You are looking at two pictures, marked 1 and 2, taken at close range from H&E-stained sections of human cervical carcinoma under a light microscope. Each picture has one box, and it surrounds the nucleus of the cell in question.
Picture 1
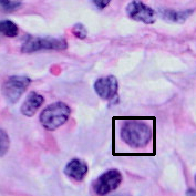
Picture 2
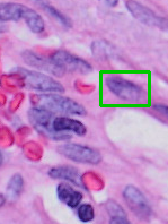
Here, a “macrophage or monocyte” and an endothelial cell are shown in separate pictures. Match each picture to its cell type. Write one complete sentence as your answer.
It is picture 1 that shows a “macrophage or monocyte”, and picture 2 that shows an endothelial cell.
